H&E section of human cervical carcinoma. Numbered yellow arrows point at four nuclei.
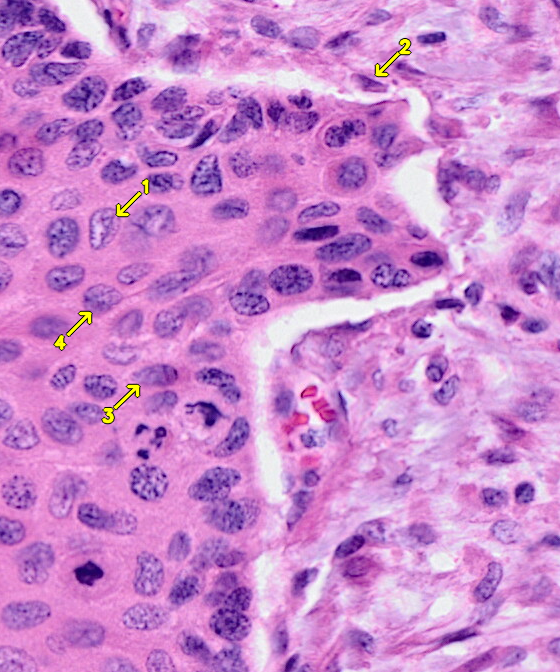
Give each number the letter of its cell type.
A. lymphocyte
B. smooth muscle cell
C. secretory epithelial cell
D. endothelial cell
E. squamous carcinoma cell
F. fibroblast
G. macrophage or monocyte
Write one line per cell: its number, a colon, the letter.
1: E
2: F
3: E
4: E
